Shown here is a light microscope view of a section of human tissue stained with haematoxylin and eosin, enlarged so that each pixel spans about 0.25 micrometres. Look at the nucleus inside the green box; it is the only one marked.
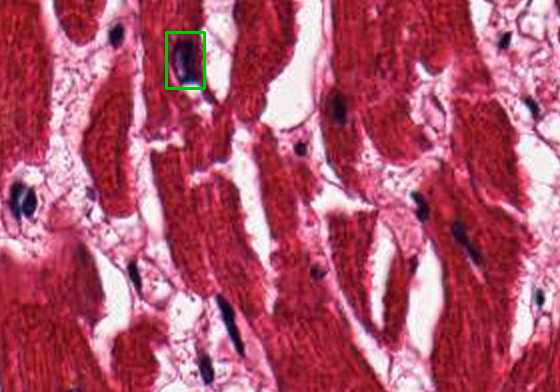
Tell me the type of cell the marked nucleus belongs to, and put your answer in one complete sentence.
Singled out by the mark is the nucleus of a cardiomyocyte.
